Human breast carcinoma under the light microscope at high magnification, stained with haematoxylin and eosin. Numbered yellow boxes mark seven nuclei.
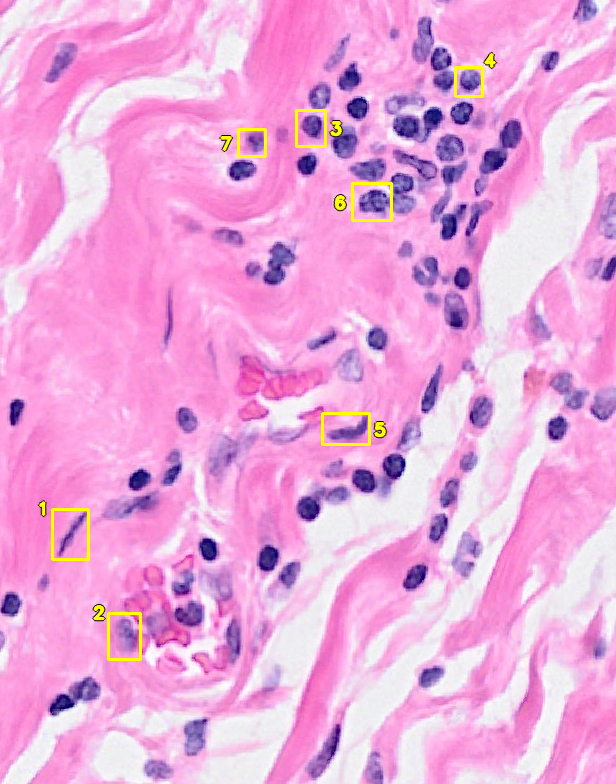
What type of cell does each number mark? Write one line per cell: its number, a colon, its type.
1: fibroblast
2: endothelial cell
3: lymphocyte
4: lymphocyte
5: endothelial cell
6: lymphocyte
7: lymphocyte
